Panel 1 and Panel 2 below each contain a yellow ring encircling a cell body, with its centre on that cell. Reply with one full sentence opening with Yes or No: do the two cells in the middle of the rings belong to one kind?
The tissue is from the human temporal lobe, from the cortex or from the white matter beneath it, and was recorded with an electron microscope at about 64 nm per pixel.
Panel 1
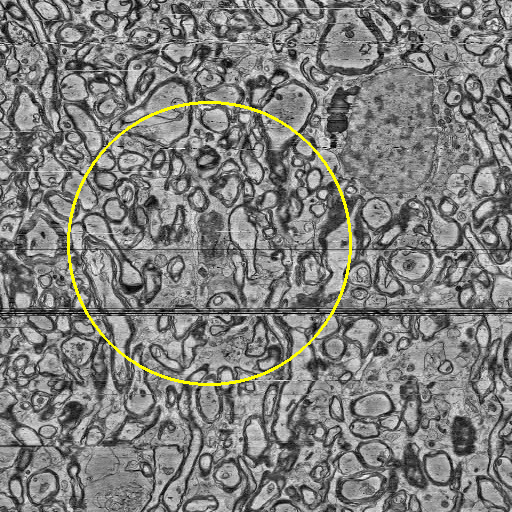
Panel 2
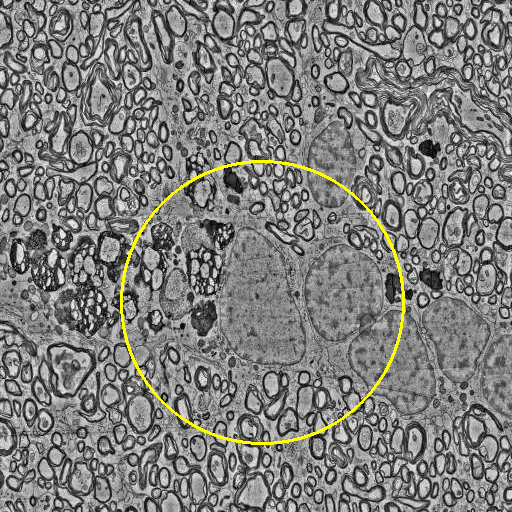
No, the cells at the middle of the Panel 1 ring and the Panel 2 ring are of two kinds.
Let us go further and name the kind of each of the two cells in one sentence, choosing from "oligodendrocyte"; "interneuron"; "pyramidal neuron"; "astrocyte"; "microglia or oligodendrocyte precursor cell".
The ring of the first picture is on an oligodendrocyte, the ring of the second on an astrocyte.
